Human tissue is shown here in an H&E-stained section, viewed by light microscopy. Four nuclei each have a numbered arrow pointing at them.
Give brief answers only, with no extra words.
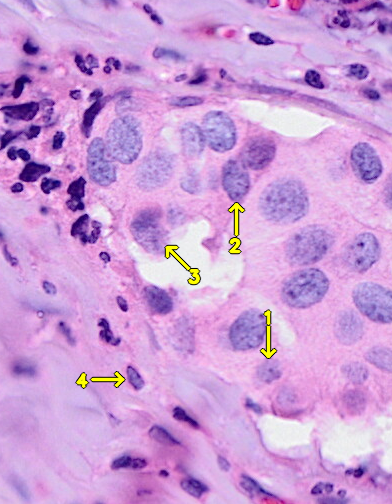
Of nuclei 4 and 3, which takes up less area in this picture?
4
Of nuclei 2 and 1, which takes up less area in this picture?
1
